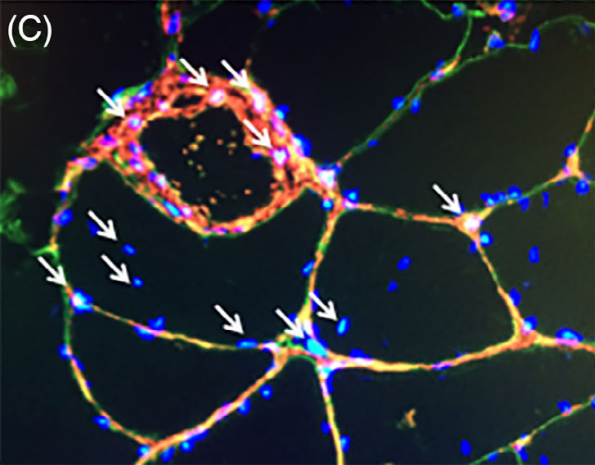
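This fluorescent cross-section of muscle shows dark fibers outlined in green, with blue nuclei along their borders. At upper left a thick mesh of orange-red signal surrounds one fiber and several nuclei, and specks of the signal lie inside that fiber. The stained projections gather within and around what looks like a degenerating muscle fiber.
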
